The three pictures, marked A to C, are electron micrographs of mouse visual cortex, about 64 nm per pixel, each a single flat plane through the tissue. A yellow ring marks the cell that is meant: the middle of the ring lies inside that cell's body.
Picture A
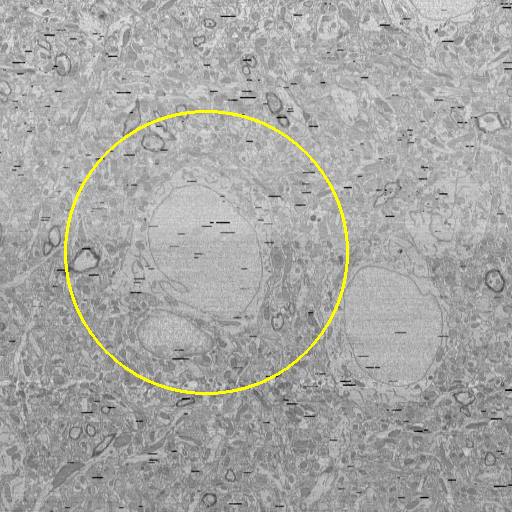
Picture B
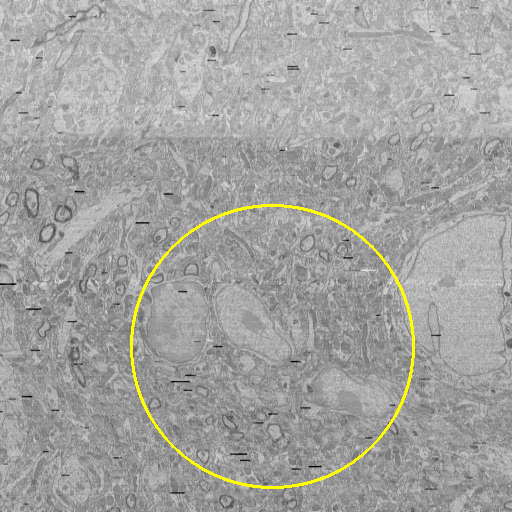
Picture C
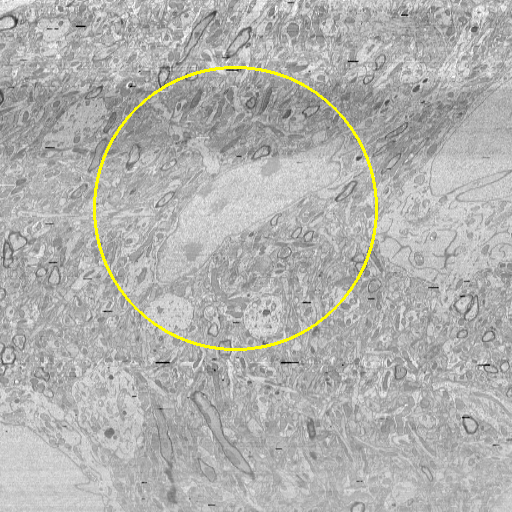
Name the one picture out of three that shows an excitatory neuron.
The picture with the excitatory neuron is A.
